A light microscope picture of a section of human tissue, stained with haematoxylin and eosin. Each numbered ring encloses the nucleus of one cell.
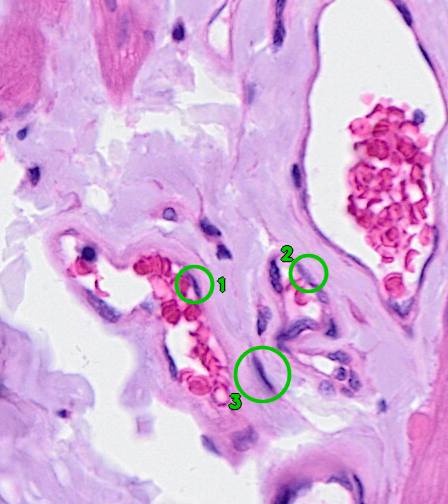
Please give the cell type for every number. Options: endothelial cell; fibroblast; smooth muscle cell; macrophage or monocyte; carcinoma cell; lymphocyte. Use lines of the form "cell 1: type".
cell 1: endothelial cell
cell 2: endothelial cell
cell 3: fibroblast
